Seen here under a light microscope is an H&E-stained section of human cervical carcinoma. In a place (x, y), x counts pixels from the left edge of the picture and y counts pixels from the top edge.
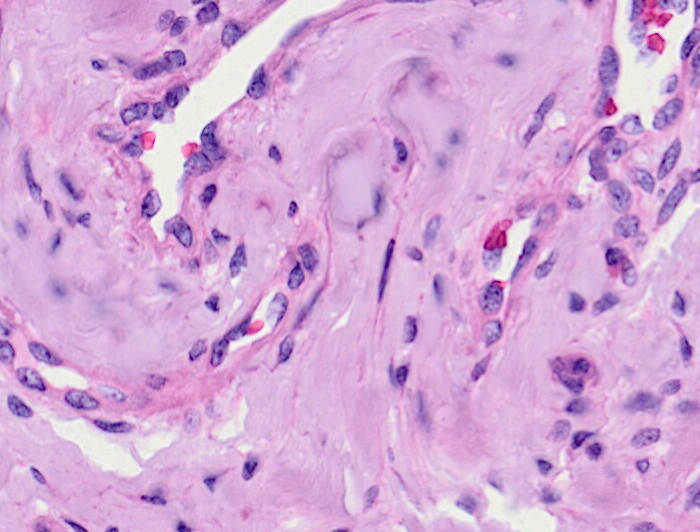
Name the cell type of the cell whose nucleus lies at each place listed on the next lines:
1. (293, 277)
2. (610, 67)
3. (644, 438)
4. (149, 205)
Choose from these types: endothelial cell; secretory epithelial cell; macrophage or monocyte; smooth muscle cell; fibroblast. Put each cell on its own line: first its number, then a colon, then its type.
1: endothelial cell
2: endothelial cell
3: fibroblast
4: endothelial cell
